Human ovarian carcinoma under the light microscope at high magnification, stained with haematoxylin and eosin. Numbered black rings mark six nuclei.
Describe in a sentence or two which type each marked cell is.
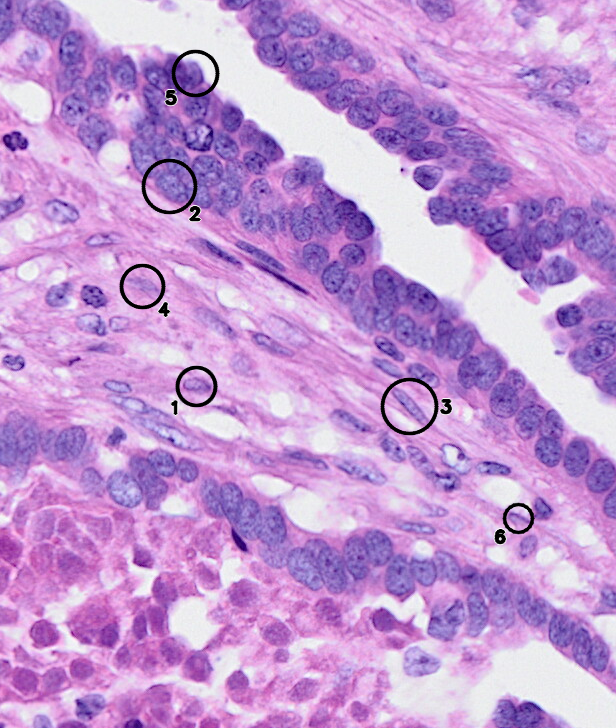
Cell 1 is a fibroblast, cell 2 is a carcinoma cell, cell 3 is a fibroblast, cell 4 is a fibroblast, cell 5 is a carcinoma cell and cell 6 is a fibroblast.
